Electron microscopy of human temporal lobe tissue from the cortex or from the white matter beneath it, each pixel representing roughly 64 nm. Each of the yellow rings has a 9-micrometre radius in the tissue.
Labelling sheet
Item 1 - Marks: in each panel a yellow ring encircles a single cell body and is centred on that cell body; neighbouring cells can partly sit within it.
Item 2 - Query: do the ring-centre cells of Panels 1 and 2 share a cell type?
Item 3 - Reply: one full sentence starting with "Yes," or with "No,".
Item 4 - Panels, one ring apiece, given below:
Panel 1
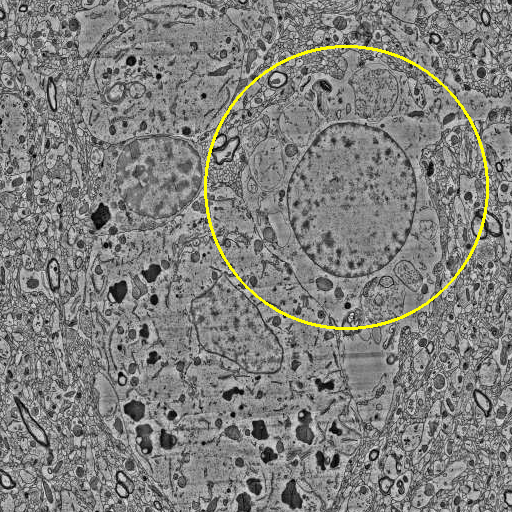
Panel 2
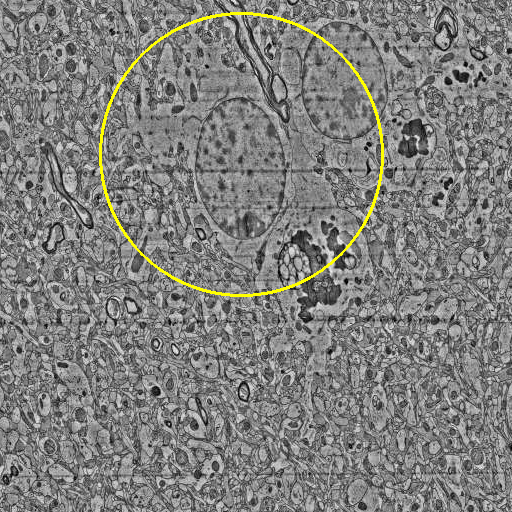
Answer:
Yes, Panel 1 and Panel 2 show one cell type at the centres of their rings.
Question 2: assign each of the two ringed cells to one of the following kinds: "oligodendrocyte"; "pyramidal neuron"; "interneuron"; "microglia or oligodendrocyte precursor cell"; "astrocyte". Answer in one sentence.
Each of the ringed cells, first and second, is an astrocyte.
